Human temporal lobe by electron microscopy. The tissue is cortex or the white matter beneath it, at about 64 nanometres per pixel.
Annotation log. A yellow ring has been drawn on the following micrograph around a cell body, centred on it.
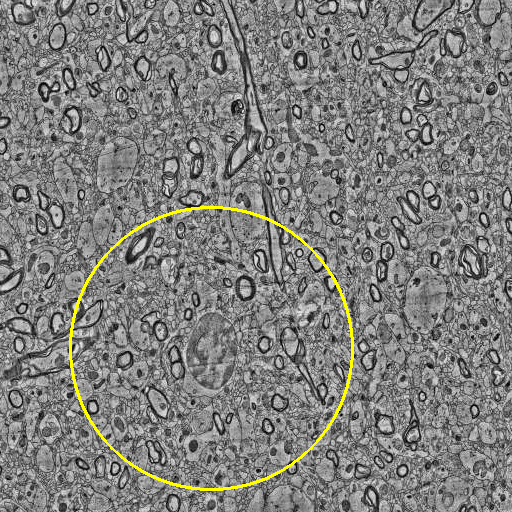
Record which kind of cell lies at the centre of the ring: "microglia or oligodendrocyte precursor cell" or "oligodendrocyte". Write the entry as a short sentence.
The cell the ring is centred on is a microglial cell or oligodendrocyte precursor cell.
